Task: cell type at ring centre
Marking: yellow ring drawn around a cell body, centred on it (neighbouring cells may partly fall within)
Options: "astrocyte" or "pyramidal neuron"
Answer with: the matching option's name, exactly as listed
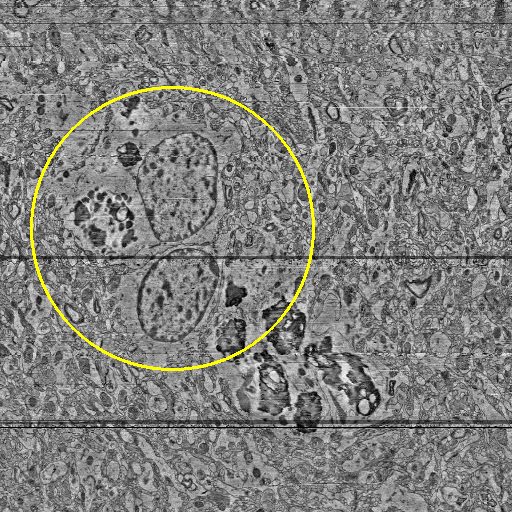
astrocyte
